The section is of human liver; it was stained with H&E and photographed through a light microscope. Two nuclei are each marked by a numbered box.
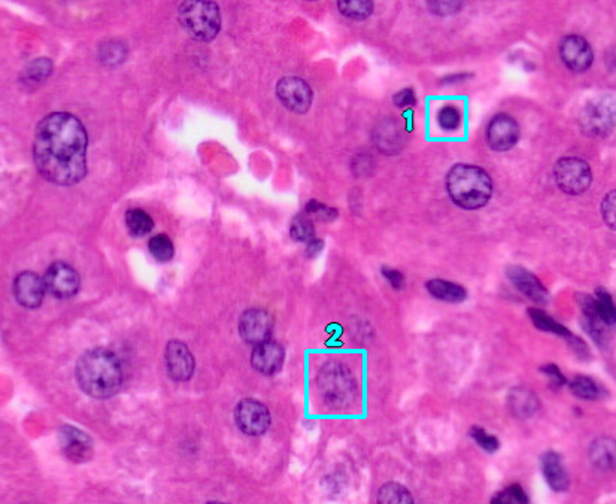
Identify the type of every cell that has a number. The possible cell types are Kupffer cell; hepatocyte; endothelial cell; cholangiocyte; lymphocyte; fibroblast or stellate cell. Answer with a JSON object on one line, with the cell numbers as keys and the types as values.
{"1": "lymphocyte", "2": "hepatocyte"}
